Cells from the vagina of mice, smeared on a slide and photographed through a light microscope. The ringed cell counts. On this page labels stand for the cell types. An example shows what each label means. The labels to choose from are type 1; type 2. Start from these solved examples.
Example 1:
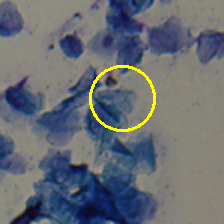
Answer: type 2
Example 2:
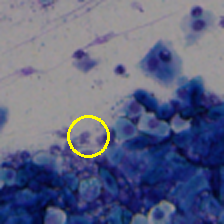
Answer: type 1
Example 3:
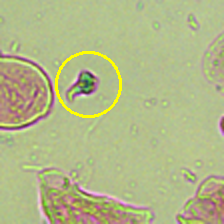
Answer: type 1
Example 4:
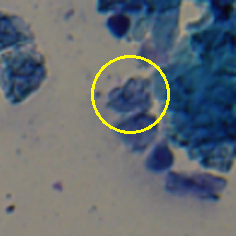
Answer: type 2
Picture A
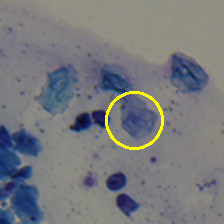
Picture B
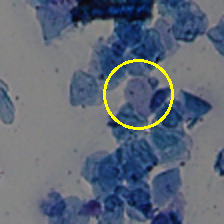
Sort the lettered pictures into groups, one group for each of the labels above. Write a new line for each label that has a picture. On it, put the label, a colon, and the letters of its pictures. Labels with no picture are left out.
type 2: A, B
